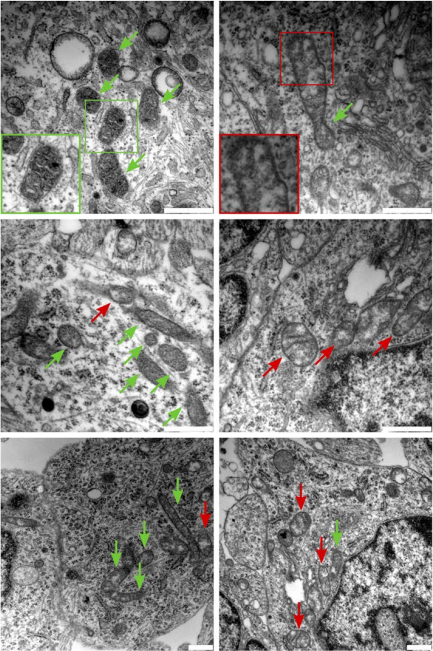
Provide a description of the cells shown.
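Several mitochondria are dark, oval to elongated bodies whose interior is packed with closely spaced folds of the inner membrane. Other mitochondria look paler and appear swollen, with stretches of their matrix where the inner membrane folds are missing or sparse. Around the mitochondria lie round vesicles, membrane profiles and a finely granular cytoplasm. In the lowest images part of a nucleus with its envelope borders the cytoplasm that holds the mitochondria.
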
